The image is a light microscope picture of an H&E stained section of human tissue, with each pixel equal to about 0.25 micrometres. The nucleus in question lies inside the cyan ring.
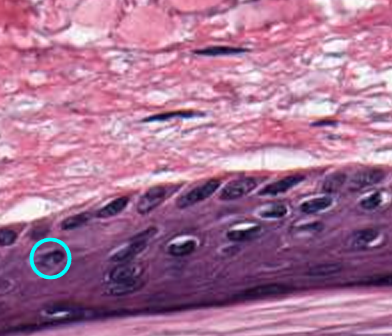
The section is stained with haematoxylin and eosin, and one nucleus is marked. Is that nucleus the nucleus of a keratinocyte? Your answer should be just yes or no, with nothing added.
yes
